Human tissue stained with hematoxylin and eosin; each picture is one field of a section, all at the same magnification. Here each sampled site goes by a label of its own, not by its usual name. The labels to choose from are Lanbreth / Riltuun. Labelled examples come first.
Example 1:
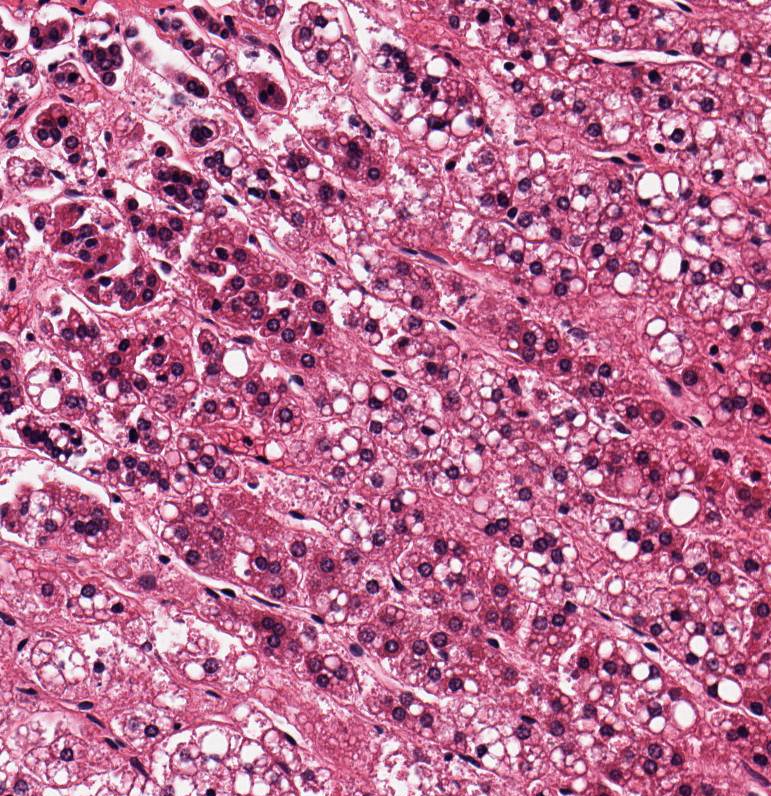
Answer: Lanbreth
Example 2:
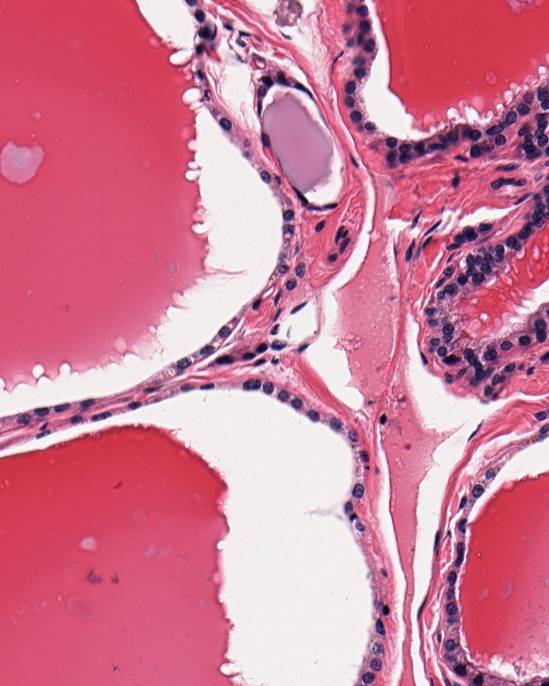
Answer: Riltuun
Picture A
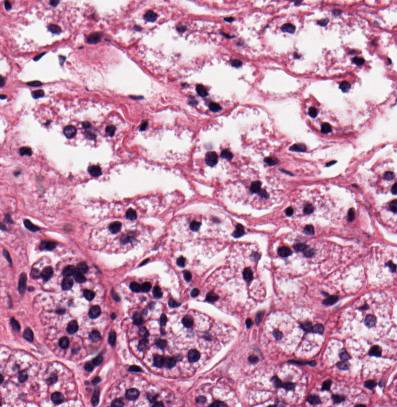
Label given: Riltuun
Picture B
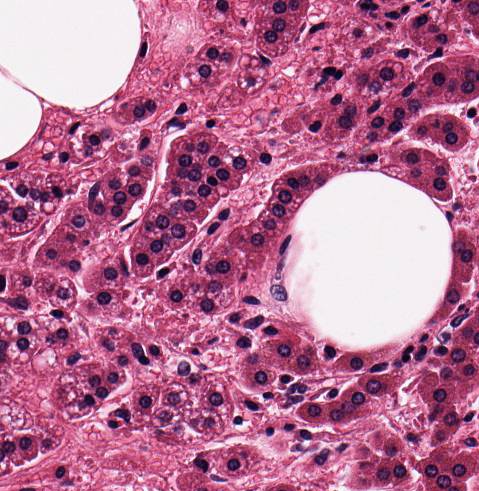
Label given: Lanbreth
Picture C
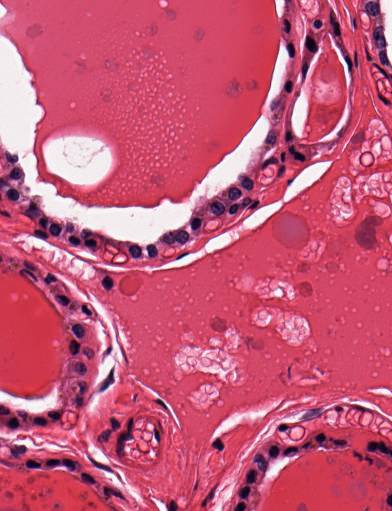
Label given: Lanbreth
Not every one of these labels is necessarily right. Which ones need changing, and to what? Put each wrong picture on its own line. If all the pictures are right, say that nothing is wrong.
A should be Lanbreth, not Riltuun
C should be Riltuun, not Lanbreth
